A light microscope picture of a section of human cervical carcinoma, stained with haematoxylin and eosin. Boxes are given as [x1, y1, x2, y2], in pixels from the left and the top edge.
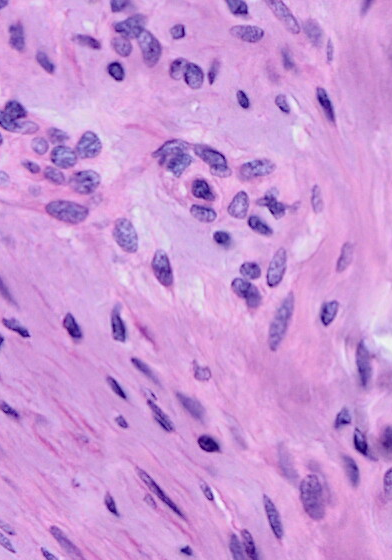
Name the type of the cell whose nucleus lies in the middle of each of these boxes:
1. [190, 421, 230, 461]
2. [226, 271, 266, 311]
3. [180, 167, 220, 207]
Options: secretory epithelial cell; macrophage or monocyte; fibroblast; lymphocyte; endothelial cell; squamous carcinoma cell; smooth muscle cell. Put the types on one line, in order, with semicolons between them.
lymphocyte; fibroblast; endothelial cell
